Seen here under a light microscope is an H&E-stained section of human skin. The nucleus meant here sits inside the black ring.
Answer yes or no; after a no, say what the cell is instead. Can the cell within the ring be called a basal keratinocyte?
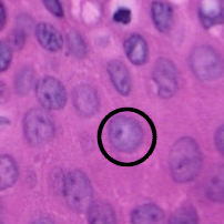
No, it is a suprabasal keratinocyte.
